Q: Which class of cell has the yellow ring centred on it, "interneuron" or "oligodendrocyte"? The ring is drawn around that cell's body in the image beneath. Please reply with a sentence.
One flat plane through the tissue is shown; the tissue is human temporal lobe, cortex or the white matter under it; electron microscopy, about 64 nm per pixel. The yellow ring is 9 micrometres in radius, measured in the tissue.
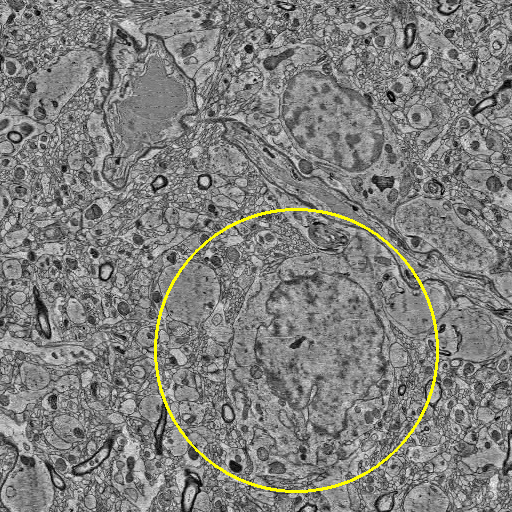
It is centred on an interneuron.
